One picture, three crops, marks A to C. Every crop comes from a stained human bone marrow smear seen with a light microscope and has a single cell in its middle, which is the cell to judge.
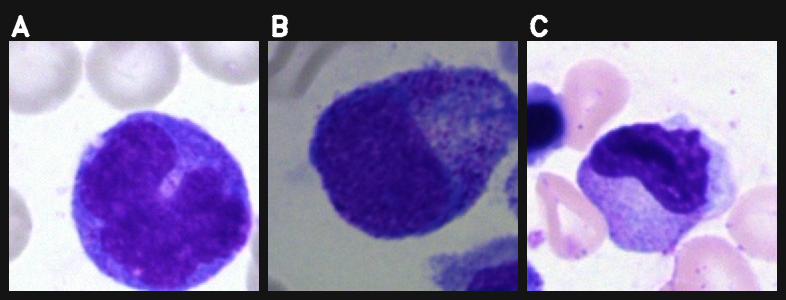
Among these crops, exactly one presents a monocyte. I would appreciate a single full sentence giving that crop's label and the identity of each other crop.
Regarding crop A, it shows a monocyte, while crop B is a promyelocyte and crop C is a band neutrophil.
